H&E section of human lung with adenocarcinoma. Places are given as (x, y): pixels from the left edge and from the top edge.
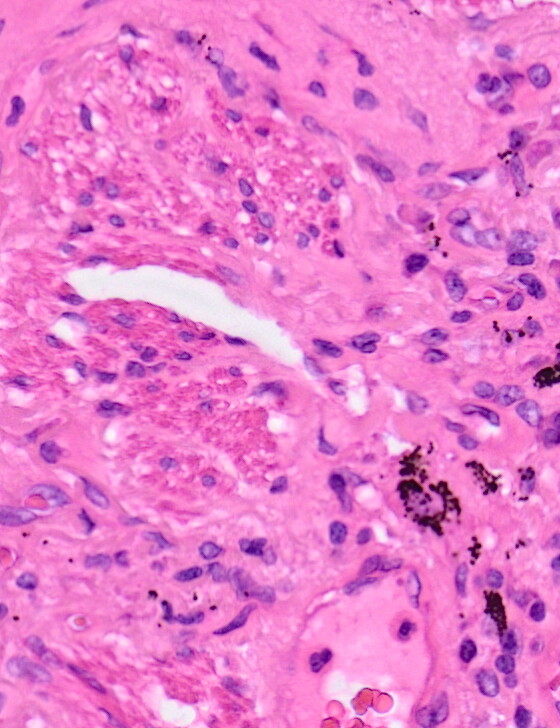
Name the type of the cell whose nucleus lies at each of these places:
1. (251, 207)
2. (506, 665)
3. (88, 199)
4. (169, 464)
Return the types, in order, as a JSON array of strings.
["smooth muscle cell or pericyte", "lymphocyte", "smooth muscle cell or pericyte", "smooth muscle cell or pericyte"]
